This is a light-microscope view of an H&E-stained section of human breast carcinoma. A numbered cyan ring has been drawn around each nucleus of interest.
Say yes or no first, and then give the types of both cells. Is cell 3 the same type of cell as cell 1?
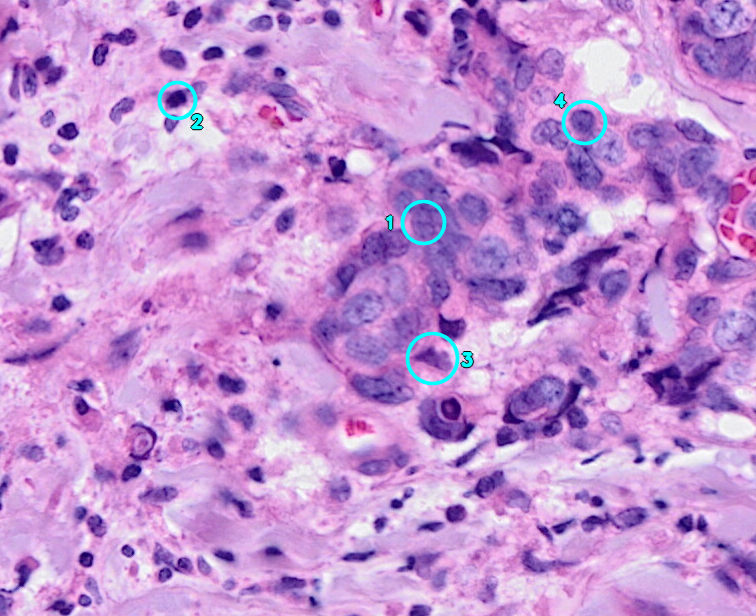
Yes, both are carcinoma cells.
